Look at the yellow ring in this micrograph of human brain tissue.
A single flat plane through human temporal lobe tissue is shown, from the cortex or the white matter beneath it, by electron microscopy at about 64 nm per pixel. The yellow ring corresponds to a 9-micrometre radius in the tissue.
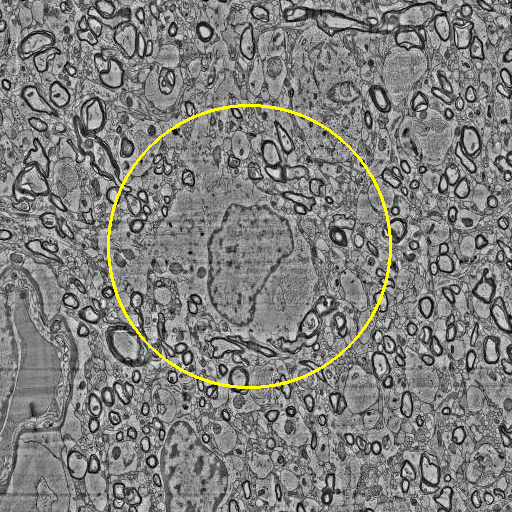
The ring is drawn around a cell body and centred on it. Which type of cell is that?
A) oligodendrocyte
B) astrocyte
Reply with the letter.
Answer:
B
